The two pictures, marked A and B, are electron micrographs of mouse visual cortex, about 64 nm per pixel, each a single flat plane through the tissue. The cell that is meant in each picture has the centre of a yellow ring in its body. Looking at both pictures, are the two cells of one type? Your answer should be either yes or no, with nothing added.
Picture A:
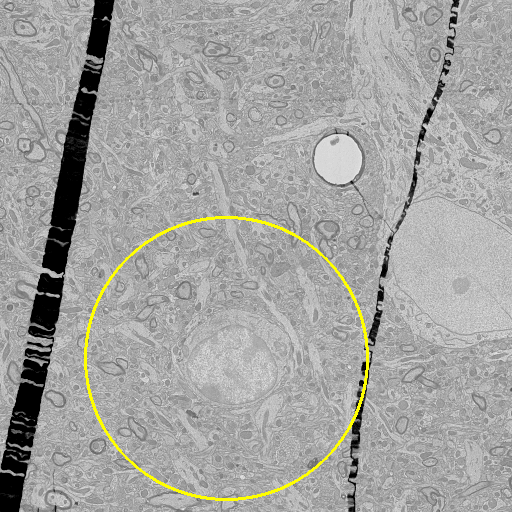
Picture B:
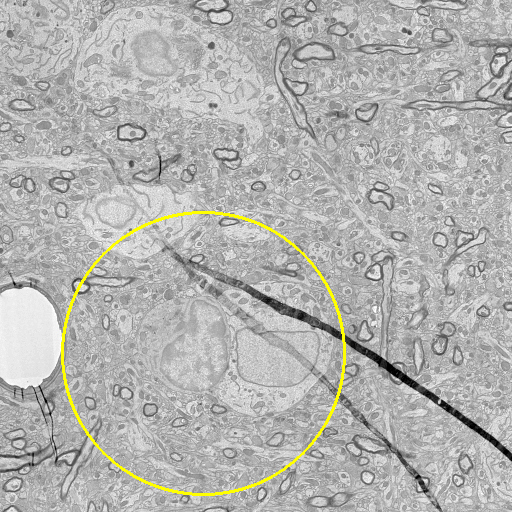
yes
